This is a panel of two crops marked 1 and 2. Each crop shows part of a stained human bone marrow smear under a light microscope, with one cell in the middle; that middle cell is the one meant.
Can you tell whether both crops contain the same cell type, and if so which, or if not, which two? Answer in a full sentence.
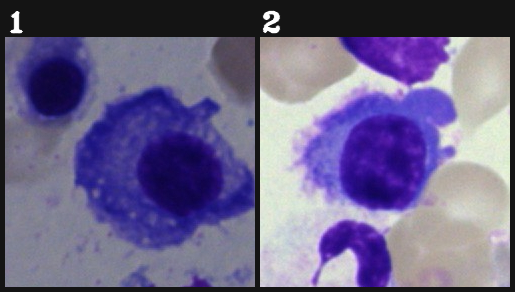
Yes, both crops in the pair show plasma cells.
